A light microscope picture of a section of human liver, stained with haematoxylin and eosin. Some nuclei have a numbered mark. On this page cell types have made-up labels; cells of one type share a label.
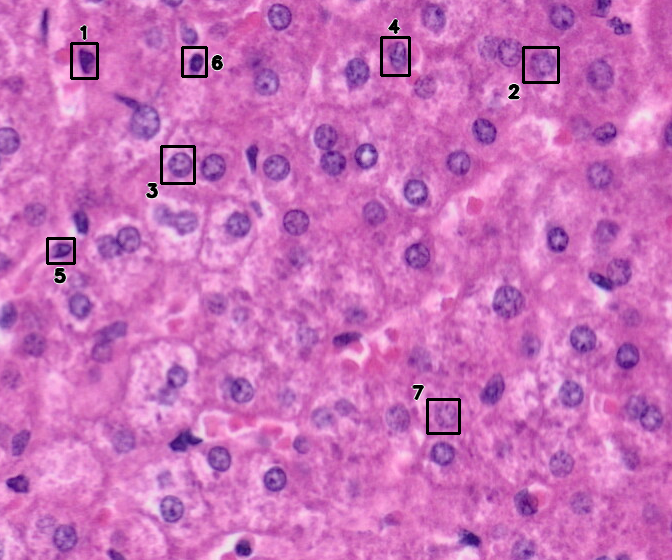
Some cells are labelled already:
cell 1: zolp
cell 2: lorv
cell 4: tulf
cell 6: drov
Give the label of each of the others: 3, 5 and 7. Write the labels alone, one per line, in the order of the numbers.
lorv
tulf
lorv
